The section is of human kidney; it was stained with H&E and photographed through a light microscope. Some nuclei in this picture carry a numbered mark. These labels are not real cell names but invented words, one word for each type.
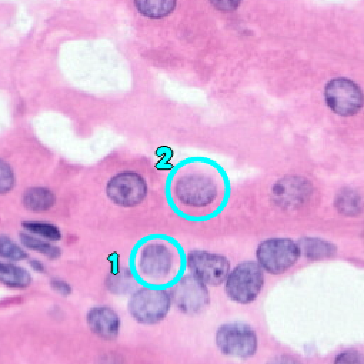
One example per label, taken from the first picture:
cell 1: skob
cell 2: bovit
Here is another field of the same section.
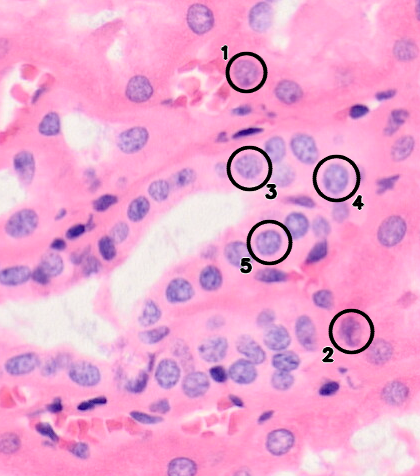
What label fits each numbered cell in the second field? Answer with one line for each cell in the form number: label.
1: bovit
2: bovit
3: skob
4: skob
5: skob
